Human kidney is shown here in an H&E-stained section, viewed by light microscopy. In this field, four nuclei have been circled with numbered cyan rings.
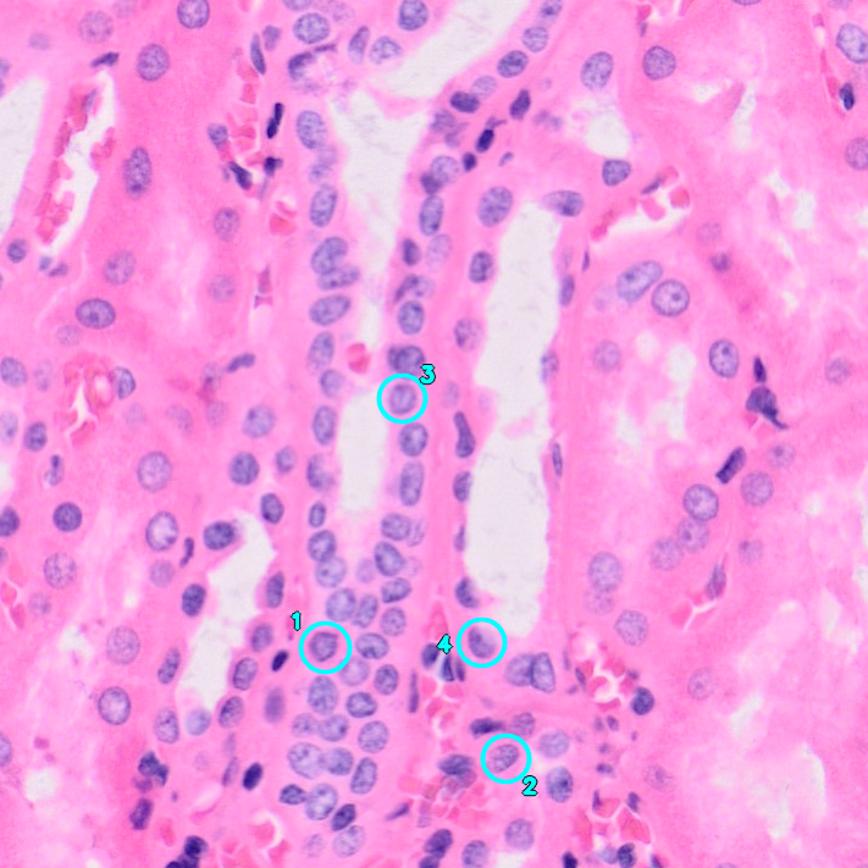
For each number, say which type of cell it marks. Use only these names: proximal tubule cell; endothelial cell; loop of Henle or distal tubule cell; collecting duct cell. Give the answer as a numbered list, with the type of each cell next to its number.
1. collecting duct cell
2. loop of Henle or distal tubule cell
3. collecting duct cell
4. loop of Henle or distal tubule cell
